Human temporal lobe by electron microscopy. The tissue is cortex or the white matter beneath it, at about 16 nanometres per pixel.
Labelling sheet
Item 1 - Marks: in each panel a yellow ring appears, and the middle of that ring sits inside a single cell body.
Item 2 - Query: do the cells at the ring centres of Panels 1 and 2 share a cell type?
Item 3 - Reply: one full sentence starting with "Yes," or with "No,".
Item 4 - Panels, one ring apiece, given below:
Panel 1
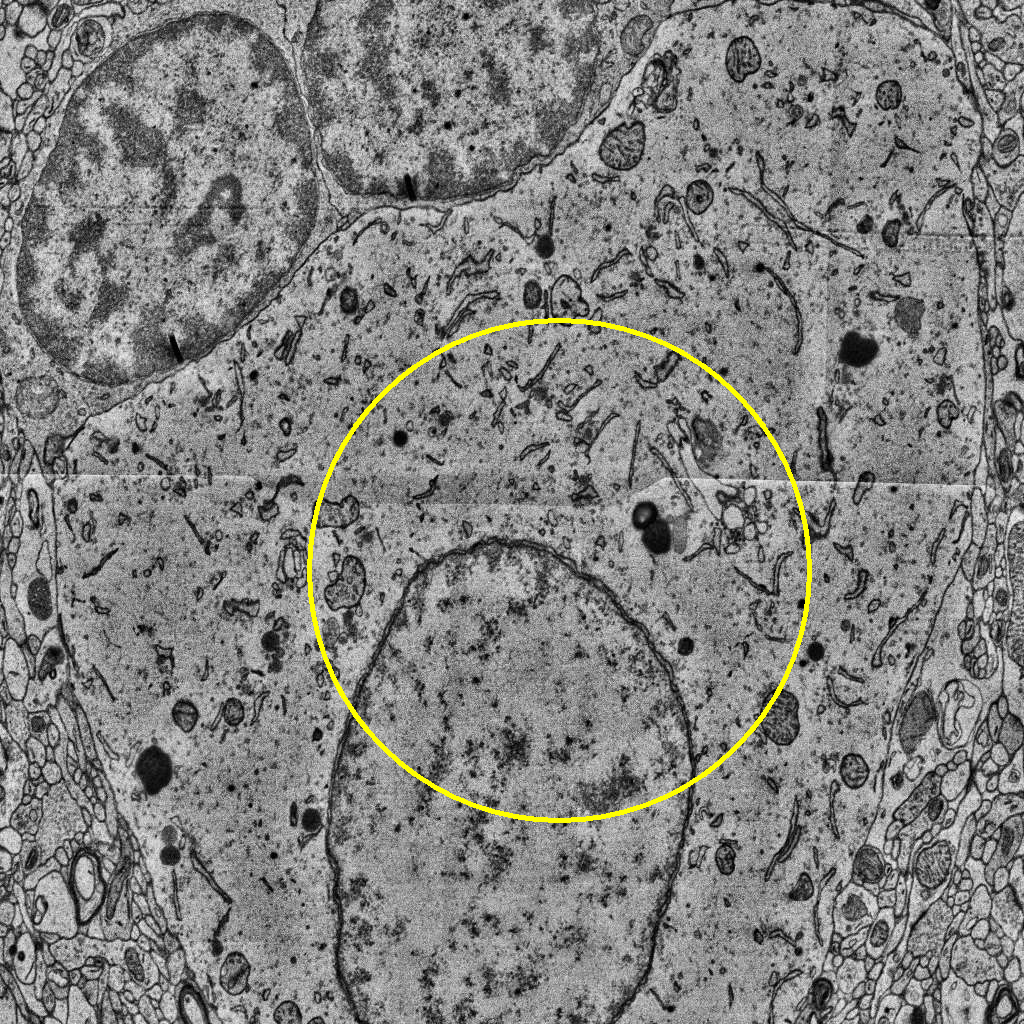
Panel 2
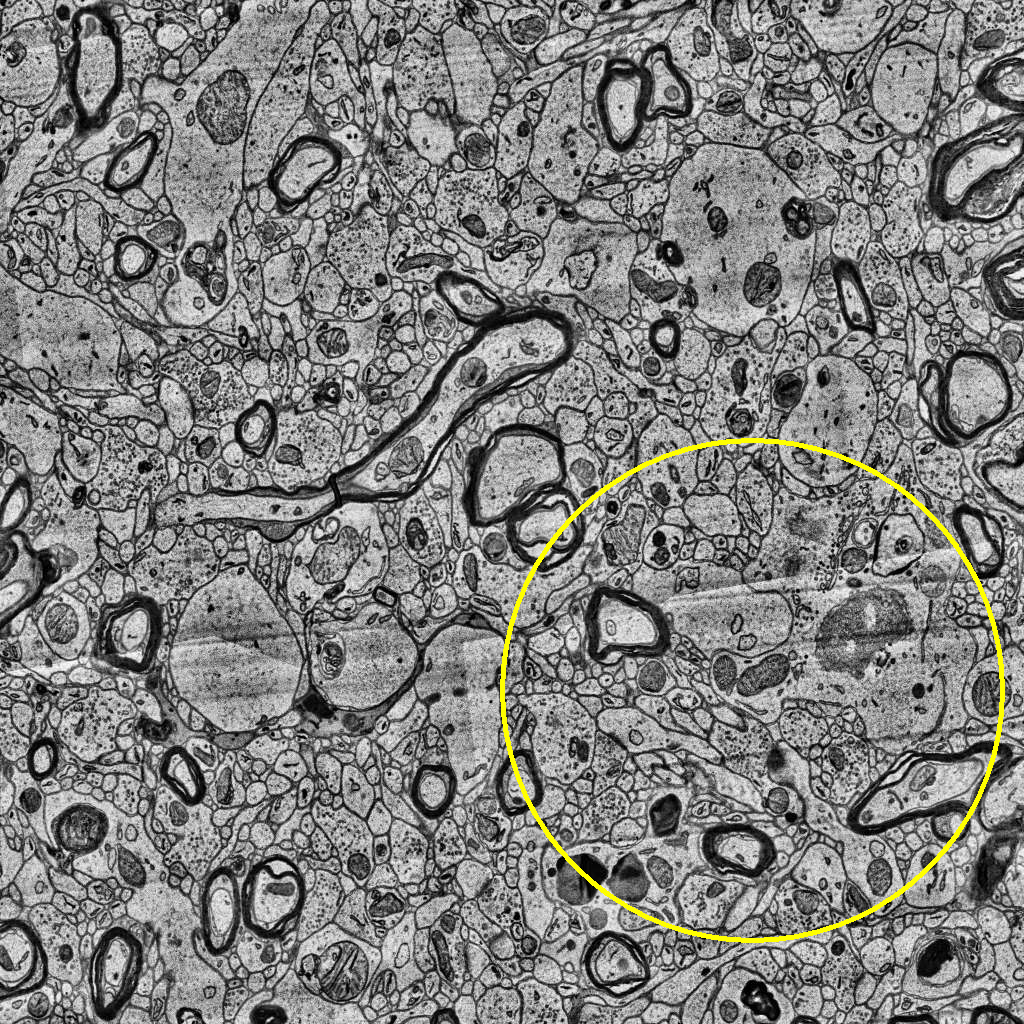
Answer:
No, Panel 1 and Panel 2 show two cell types at the centres of their rings.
